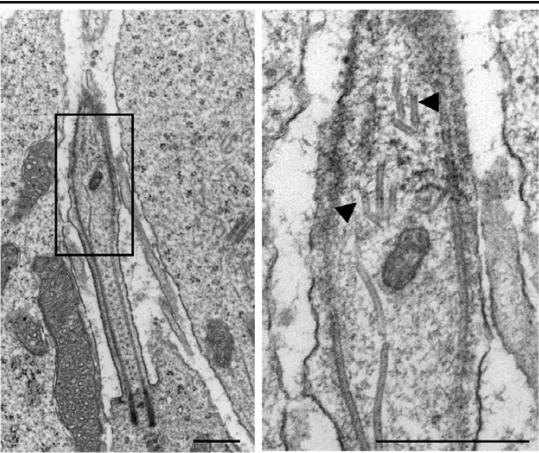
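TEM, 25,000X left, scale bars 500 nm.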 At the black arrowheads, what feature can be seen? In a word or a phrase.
Very small flattened membranous structures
